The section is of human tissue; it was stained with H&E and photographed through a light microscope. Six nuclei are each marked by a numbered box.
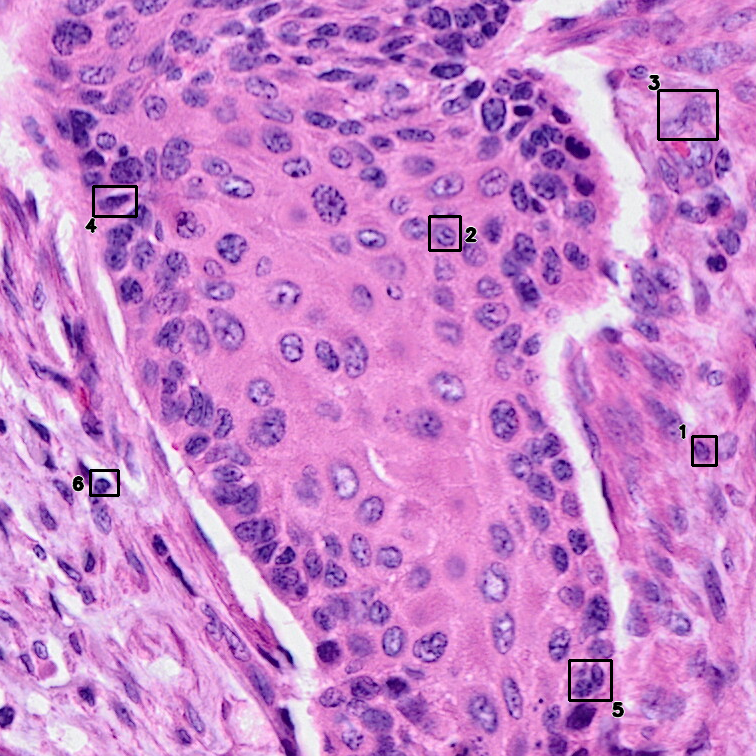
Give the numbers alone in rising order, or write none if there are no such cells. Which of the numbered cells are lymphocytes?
6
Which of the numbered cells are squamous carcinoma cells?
2, 4, 5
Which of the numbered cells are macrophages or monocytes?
1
